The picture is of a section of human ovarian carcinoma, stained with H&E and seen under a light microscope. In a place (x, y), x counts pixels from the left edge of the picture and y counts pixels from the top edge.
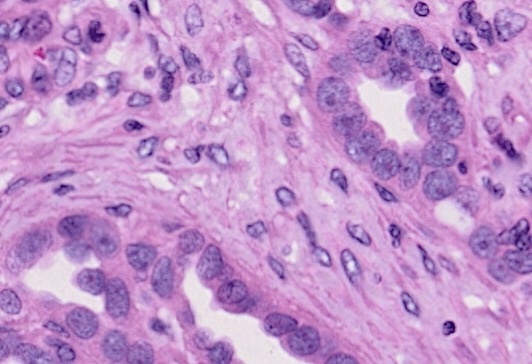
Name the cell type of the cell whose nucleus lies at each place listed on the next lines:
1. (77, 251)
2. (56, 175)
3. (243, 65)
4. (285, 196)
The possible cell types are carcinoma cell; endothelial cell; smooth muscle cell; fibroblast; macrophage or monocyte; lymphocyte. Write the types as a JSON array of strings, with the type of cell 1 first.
["carcinoma cell", "fibroblast", "fibroblast", "fibroblast"]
